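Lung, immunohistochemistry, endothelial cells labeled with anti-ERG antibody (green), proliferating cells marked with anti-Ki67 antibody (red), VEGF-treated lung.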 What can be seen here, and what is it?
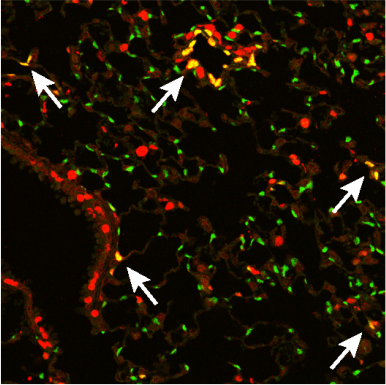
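Small elongated green nuclei line the septa throughout, while round red nuclei are scattered among them in fair numbers. Several nuclei appear yellow where both colours overlap, some lying singly and some gathered in small clusters in the septa. A thicker wall of a larger airway or vessel runs across the lower left, with red nuclei strung along it.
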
